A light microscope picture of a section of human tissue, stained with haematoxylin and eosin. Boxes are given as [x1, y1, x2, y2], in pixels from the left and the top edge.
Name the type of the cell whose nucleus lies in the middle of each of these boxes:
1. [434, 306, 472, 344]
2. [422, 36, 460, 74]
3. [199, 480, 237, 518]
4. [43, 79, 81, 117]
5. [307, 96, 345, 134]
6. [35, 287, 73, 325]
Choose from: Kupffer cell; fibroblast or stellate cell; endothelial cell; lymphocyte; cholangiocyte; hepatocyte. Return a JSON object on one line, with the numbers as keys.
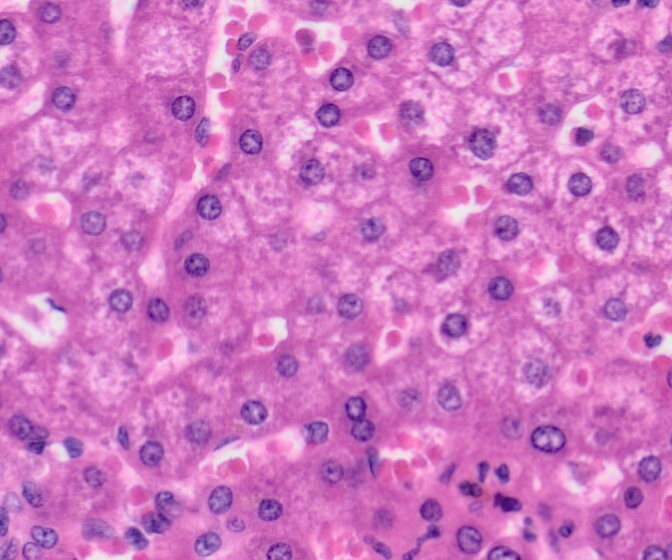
{"1": "hepatocyte", "2": "hepatocyte", "3": "cholangiocyte", "4": "hepatocyte", "5": "hepatocyte", "6": "endothelial cell"}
